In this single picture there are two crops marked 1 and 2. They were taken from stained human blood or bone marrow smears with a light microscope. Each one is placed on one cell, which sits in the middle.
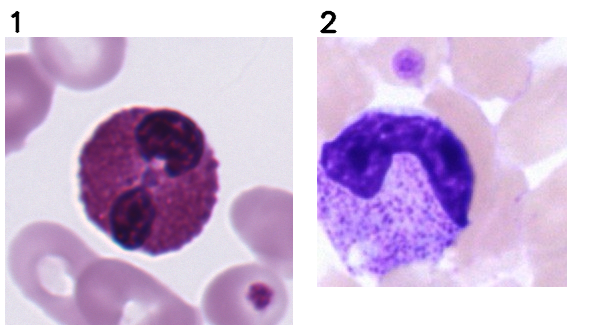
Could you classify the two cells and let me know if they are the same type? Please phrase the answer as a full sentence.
No, crop 1 carries an eosinophil and crop 2 carries a band neutrophil.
